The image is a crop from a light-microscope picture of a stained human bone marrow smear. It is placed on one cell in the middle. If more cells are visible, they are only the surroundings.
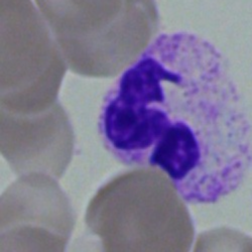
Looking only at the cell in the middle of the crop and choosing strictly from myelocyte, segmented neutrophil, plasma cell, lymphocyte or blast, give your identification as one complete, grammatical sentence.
The center cell of this crop is a segmented neutrophil.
